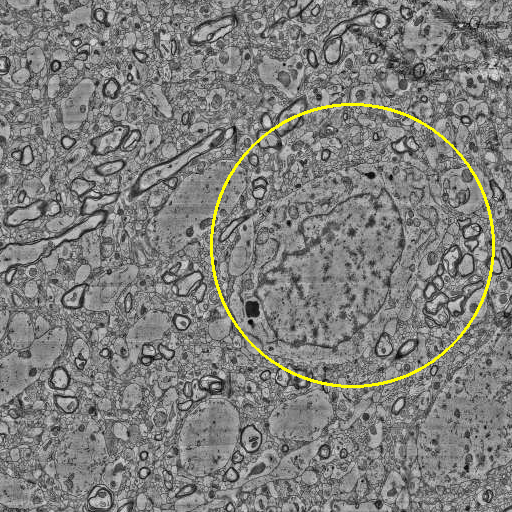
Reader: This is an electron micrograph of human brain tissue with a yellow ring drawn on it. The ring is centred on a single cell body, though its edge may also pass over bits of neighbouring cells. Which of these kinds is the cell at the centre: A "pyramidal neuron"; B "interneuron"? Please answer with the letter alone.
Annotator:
B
